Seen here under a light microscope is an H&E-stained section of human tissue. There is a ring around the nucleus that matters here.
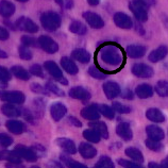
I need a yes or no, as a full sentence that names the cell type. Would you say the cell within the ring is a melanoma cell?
No, the cell within the ring is classed as a plasma cell, not as a melanoma cell.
